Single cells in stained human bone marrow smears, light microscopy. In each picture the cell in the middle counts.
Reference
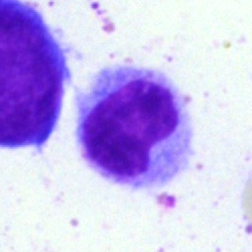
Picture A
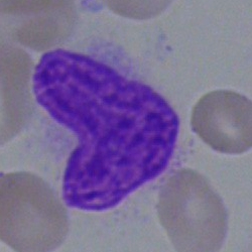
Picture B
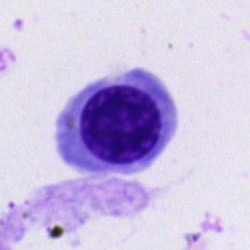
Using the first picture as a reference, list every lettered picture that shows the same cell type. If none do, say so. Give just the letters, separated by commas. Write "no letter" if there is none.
A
